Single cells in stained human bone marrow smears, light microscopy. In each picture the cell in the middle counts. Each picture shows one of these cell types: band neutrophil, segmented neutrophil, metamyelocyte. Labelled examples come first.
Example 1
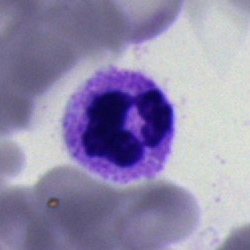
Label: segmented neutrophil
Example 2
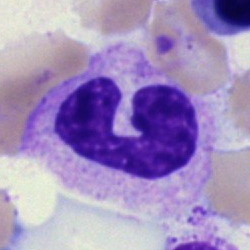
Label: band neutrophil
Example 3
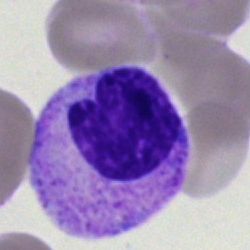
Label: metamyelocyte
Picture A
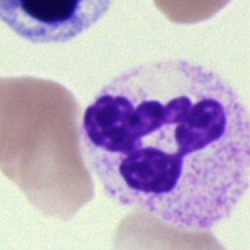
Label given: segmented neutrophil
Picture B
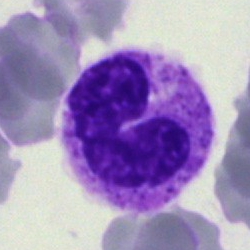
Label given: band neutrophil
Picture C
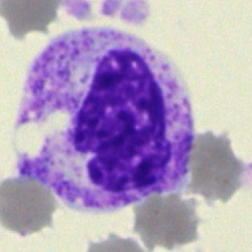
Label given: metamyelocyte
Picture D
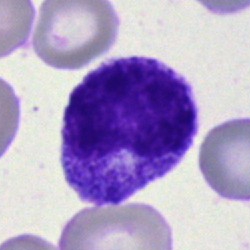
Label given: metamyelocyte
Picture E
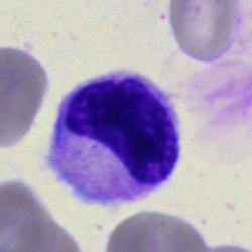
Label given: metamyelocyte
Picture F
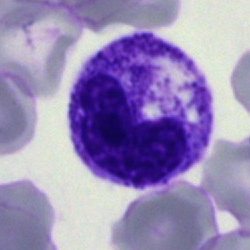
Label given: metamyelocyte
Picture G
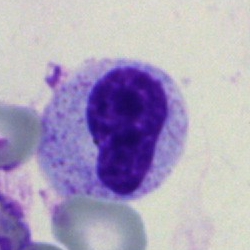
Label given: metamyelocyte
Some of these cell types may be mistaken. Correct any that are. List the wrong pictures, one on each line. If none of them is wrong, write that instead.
None of the labels needs changing.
